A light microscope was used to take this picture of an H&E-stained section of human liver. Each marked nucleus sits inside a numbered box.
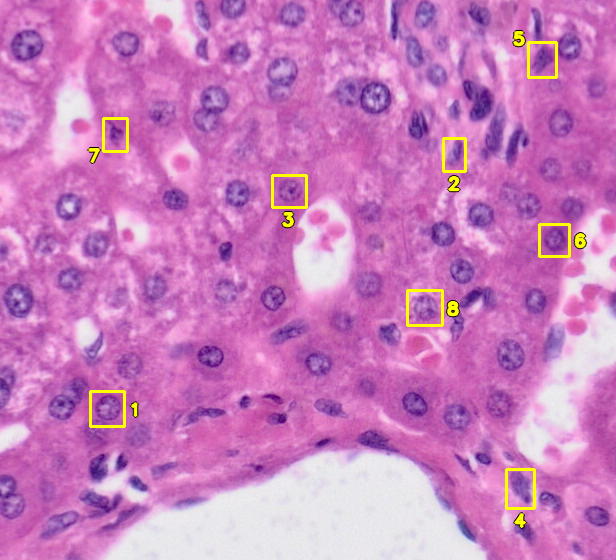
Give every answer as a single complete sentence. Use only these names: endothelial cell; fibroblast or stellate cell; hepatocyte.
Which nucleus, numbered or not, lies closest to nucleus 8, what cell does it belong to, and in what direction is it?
The nearest nucleus is that of a fibroblast or stellate cell and lies below and to the right of nucleus 8.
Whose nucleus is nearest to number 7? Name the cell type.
The cell nearest to number 7 is a hepatocyte.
